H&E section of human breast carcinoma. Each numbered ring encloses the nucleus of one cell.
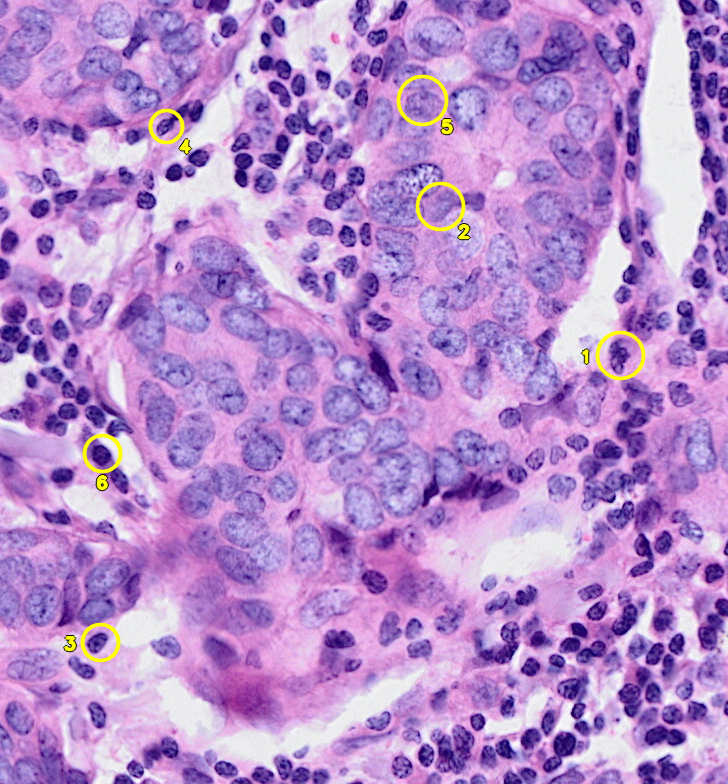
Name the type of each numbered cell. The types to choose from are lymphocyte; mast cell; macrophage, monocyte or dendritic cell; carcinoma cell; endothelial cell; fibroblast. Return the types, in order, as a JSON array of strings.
["lymphocyte", "carcinoma cell", "lymphocyte", "lymphocyte", "carcinoma cell", "lymphocyte"]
